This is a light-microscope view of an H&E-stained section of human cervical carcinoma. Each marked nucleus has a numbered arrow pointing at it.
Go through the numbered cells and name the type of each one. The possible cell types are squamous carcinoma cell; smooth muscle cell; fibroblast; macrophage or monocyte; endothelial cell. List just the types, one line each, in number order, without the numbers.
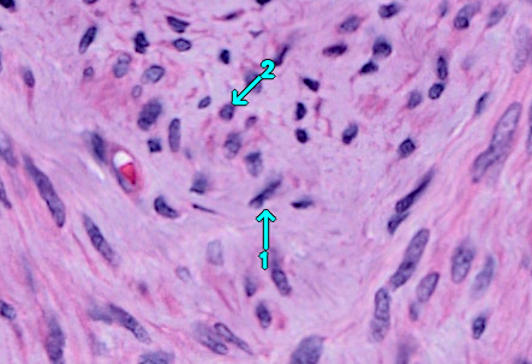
fibroblast
smooth muscle cell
